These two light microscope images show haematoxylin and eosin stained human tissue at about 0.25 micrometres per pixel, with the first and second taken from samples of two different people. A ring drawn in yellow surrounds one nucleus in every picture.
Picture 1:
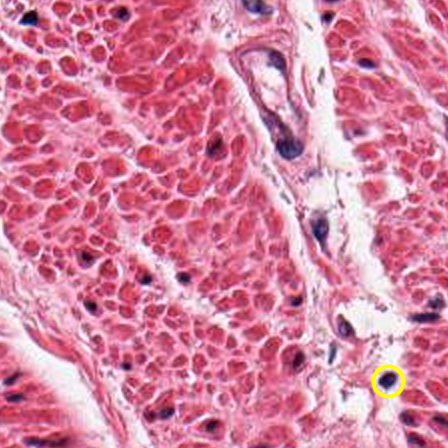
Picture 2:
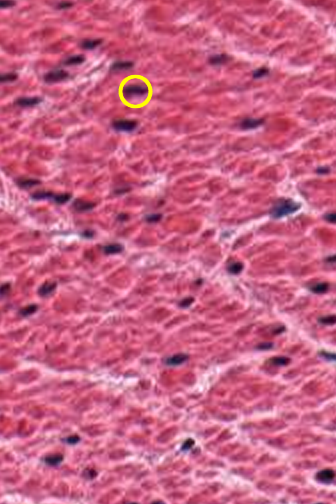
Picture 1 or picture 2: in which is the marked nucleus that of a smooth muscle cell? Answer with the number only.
2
